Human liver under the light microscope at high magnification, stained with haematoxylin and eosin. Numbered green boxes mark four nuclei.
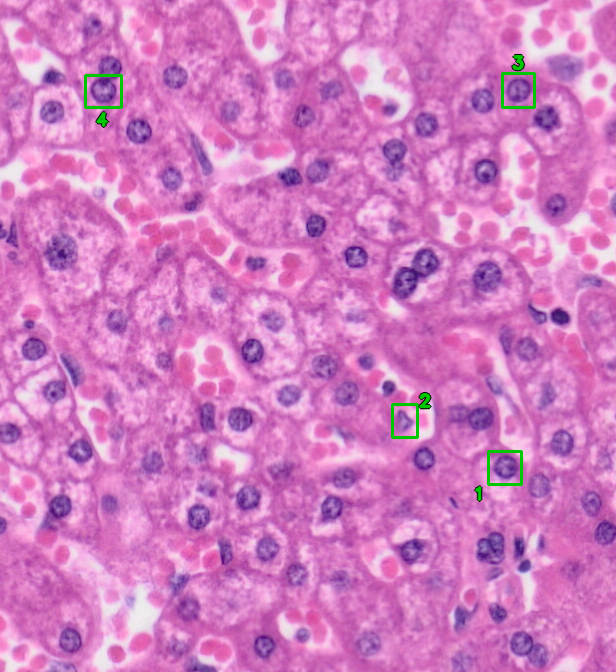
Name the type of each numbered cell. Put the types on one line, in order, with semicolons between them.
hepatocyte; Kupffer cell; hepatocyte; hepatocyte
